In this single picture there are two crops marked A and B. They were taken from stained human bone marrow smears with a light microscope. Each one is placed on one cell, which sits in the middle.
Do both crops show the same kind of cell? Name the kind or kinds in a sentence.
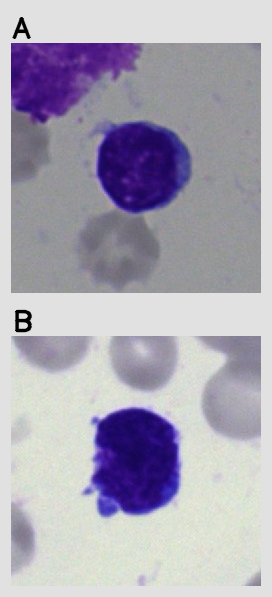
No: a lymphocyte sits in crop A, and a blast sits in crop B.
